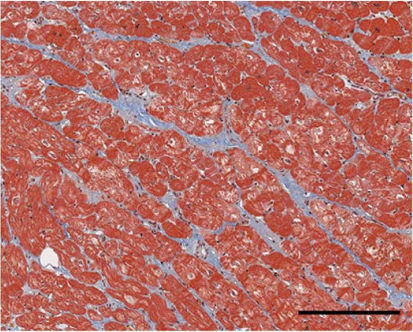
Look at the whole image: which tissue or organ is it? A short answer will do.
Myocardium.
